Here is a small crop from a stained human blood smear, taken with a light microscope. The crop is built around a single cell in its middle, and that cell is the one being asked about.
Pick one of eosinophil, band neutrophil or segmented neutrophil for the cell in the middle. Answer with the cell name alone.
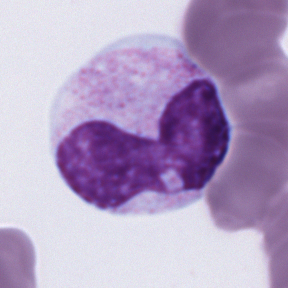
band neutrophil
